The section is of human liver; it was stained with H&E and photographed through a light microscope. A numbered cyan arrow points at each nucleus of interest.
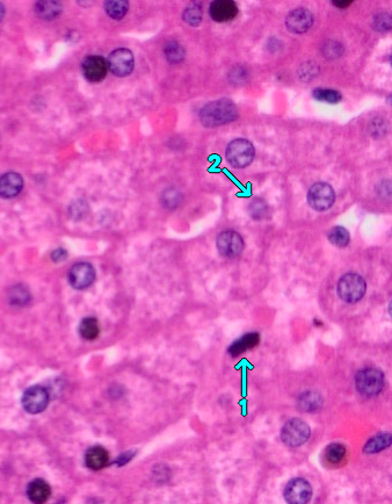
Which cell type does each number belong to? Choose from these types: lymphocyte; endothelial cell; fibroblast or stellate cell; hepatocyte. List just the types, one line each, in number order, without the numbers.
fibroblast or stellate cell
hepatocyte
